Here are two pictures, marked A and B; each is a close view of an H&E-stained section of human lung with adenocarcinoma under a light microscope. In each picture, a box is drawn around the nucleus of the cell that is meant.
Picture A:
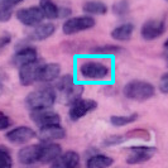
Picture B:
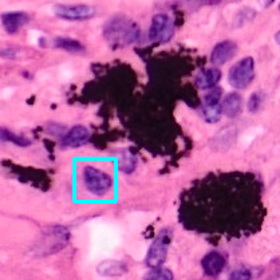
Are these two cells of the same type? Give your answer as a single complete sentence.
No; the cell in picture A is a lymphocyte, while the one in picture B is a mast cell.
